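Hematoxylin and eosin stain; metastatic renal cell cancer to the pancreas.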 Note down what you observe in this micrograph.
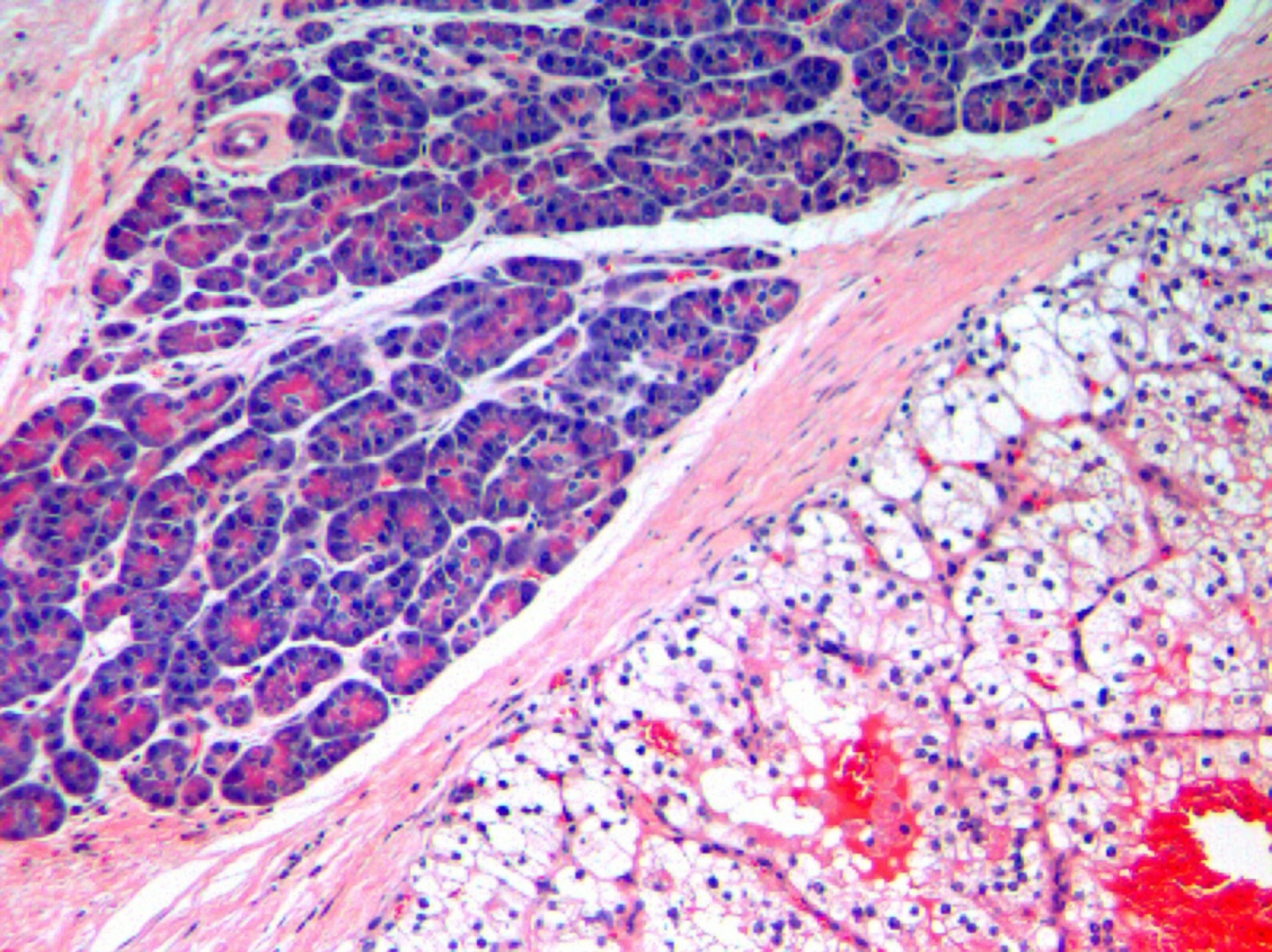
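Pancreatic acinar tissue lies in the upper left, and vacuolated clear tumour cells lie in the lower right, separated by a band of pink fibrous stroma. The acinar cells form rounded clusters with basal round nuclei and basophilic blue-purple cytoplasm that turns pink toward the small central lumina. The acinar tissue is divided into lobules by thin septa. The tumour cells have abundant clear cytoplasm, sharp cell borders and small dark nuclei, and they are arranged in nests within a fine vascular network that shows red blood cells and haemorrhage.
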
